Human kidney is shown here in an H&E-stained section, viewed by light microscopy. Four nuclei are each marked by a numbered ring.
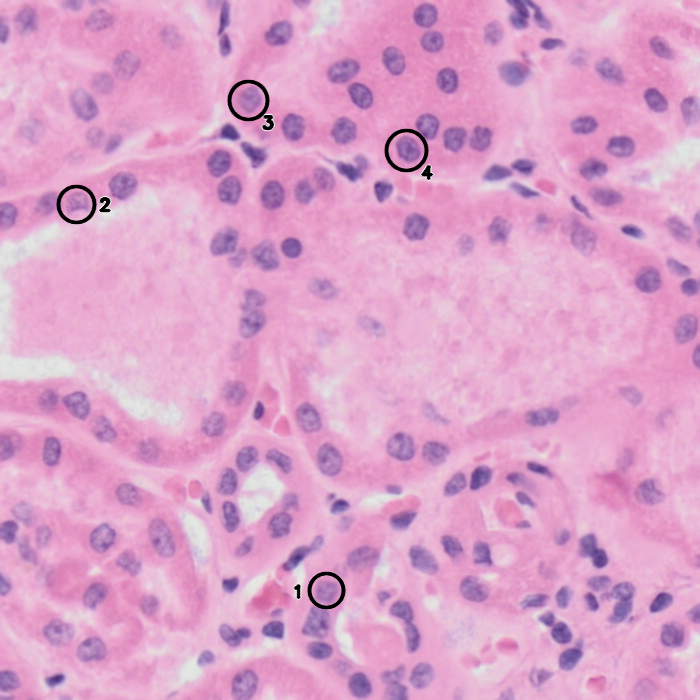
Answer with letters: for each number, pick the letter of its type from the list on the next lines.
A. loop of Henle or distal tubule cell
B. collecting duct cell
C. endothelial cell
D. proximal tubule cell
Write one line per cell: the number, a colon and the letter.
1: B
2: D
3: D
4: D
